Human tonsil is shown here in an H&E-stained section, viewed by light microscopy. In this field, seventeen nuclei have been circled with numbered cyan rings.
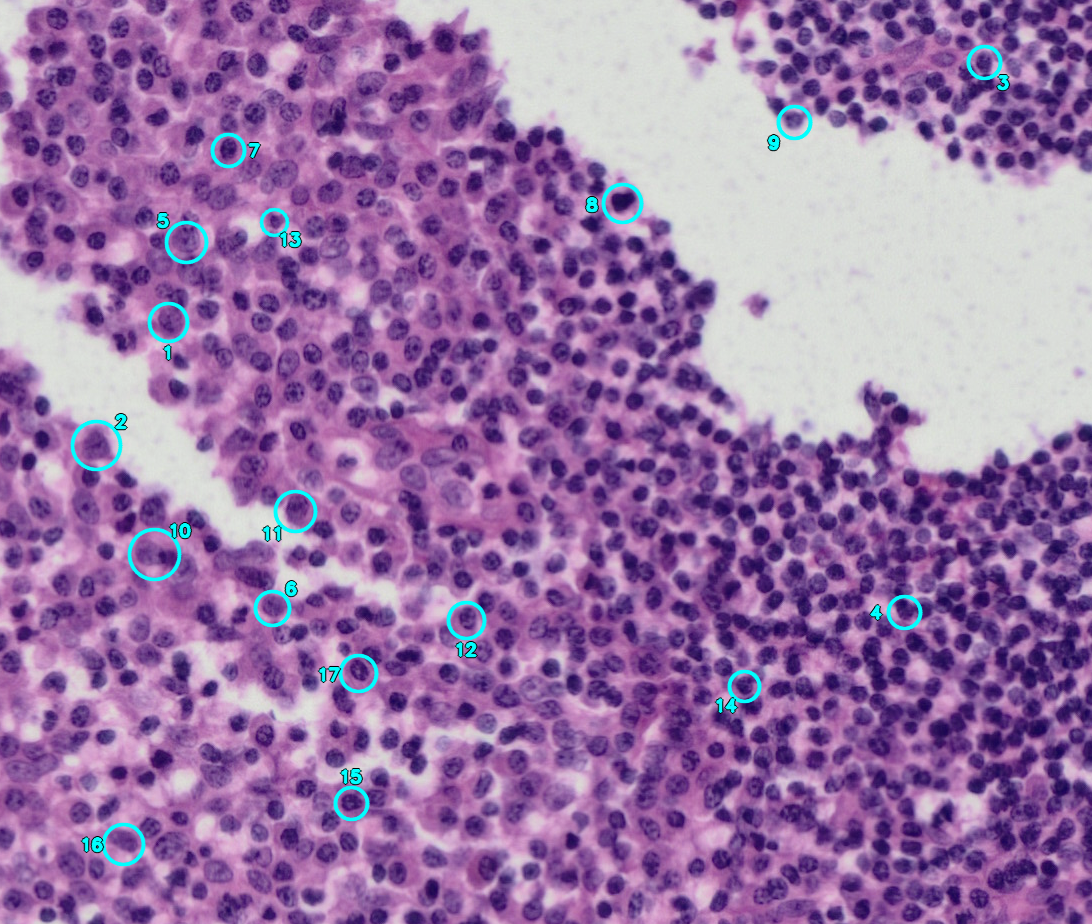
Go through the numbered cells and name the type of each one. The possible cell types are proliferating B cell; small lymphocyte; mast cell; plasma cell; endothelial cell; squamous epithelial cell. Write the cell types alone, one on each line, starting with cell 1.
squamous epithelial cell
squamous epithelial cell
small lymphocyte
small lymphocyte
squamous epithelial cell
squamous epithelial cell
plasma cell
proliferating B cell
small lymphocyte
squamous epithelial cell
squamous epithelial cell
plasma cell
squamous epithelial cell
small lymphocyte
plasma cell
squamous epithelial cell
plasma cell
